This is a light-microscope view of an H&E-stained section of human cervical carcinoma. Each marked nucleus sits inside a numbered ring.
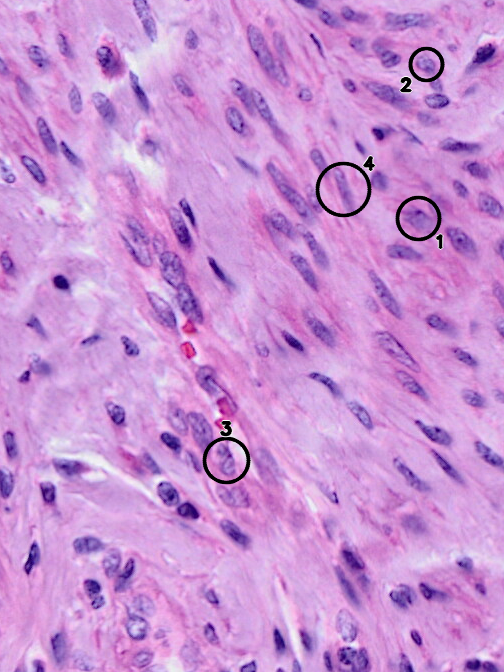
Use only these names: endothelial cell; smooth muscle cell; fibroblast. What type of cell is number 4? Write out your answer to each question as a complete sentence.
Cell 4 should be recorded as a smooth muscle cell.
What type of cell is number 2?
The cell to which the number 2 is assigned is a smooth muscle cell.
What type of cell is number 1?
To a smooth muscle cell belongs the nucleus marked 1.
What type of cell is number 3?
The mark numbered 3 indicates the nucleus of an endothelial cell.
